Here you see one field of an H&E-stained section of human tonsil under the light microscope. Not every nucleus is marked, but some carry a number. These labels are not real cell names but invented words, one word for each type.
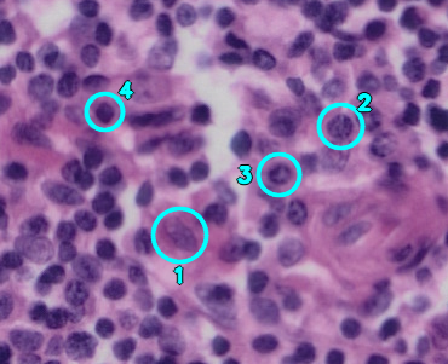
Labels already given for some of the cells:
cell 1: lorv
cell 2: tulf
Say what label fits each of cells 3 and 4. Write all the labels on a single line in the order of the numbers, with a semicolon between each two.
tulf; lorv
